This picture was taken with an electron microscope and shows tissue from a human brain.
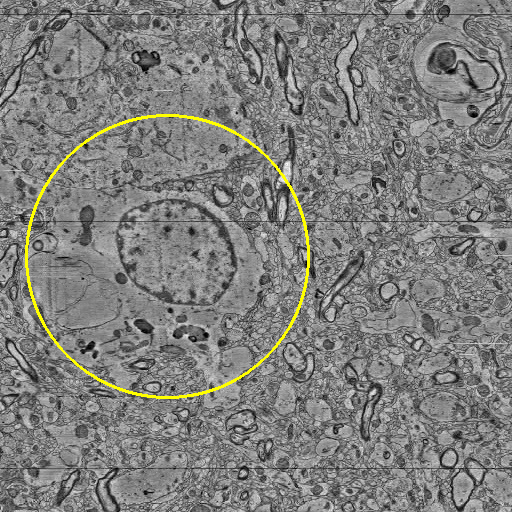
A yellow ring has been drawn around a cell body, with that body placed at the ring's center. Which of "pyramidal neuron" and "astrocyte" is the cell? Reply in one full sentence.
In this picture, an astrocyte is the cell at the center of the yellow ring.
